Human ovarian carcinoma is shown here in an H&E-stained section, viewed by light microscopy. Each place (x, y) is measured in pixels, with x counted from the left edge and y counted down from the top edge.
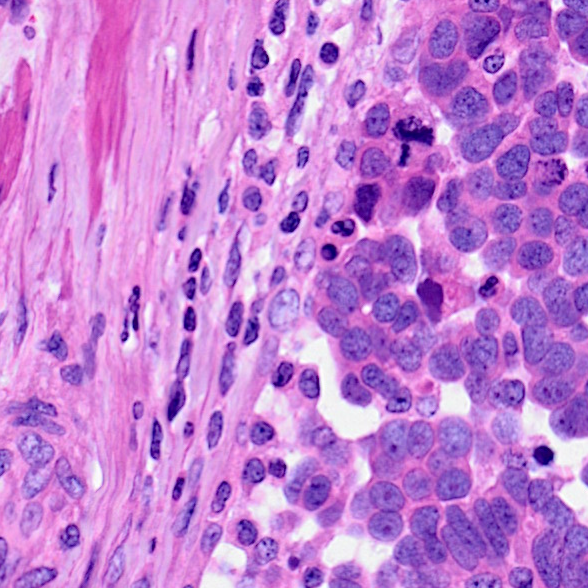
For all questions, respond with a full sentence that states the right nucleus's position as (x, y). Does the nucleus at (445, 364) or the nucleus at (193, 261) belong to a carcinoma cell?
The one belonging to a carcinoma cell is the nucleus at (445, 364), not the other.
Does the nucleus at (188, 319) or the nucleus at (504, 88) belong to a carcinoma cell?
So, of the two, the nucleus at (504, 88) is the one belonging to a carcinoma cell.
